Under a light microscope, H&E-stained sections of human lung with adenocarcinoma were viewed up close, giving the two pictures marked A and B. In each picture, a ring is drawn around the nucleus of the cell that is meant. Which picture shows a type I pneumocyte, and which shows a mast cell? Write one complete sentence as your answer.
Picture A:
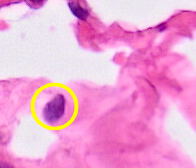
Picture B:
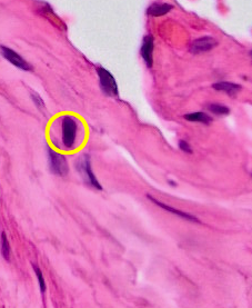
The cell in picture A is a type I pneumocyte, and the one in picture B is a mast cell.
